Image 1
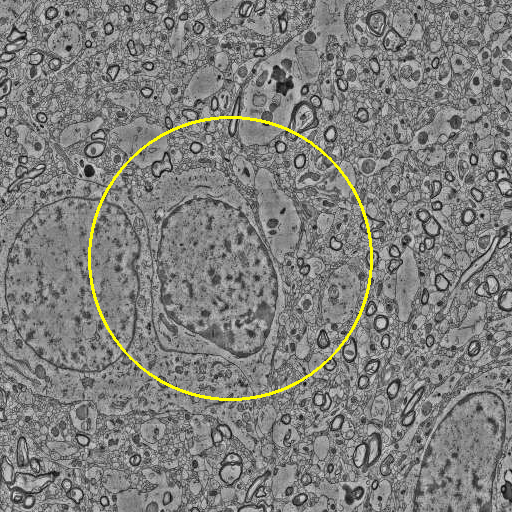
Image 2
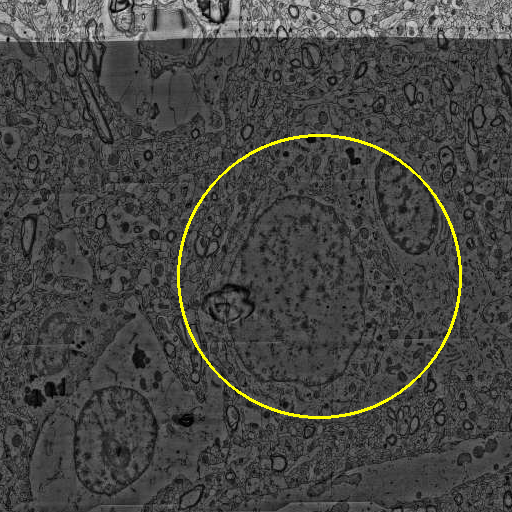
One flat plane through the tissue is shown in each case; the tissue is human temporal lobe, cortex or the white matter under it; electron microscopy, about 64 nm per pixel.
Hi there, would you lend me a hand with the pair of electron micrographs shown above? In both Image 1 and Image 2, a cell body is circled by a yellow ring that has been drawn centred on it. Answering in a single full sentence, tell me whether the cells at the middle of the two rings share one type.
No, the ringed cells in Image 1 and Image 2 belong to two types.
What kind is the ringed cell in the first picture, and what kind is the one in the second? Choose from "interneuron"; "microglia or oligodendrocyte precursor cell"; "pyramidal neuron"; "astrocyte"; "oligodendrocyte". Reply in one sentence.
The first cell is a microglial cell or oligodendrocyte precursor cell; the second is an interneuron.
